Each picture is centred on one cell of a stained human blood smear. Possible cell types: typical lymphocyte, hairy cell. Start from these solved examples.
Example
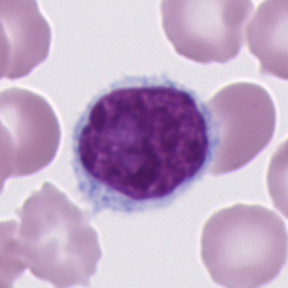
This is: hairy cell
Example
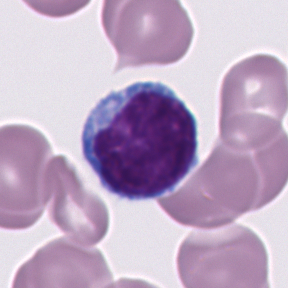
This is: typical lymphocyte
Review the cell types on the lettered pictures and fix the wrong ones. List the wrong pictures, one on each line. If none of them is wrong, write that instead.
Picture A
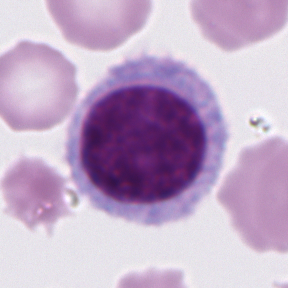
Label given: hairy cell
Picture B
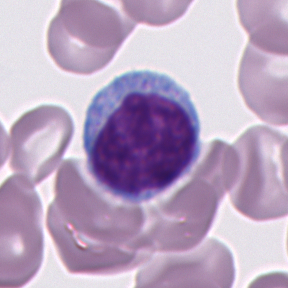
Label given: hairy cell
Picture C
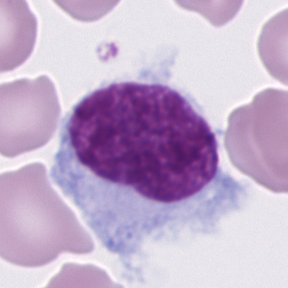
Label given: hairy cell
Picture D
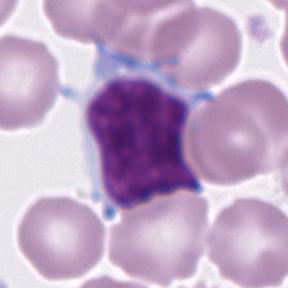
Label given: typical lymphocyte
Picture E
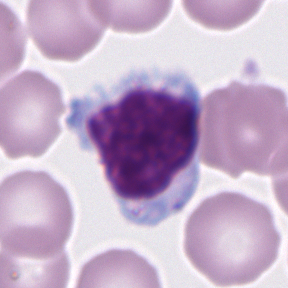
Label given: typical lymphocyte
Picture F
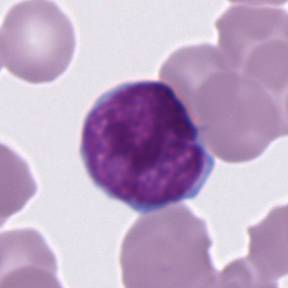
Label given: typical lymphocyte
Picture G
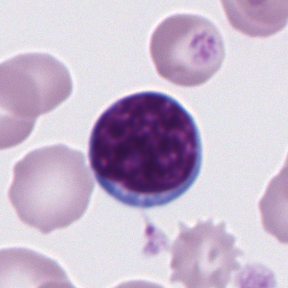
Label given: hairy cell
Wrong: B (hairy cell); correct: typical lymphocyte
Wrong: G (hairy cell); correct: typical lymphocyte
